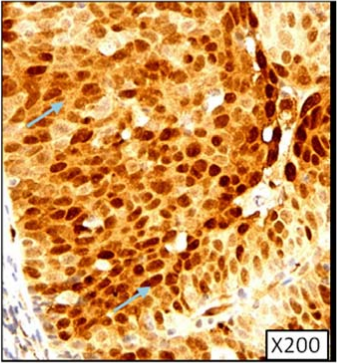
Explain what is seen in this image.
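This is carcinoma tissue made of crowded tumor cells, with the brown stain strongest in their nuclei. Most nuclei are oval to elongated and a solid deep brown, while the surrounding cytoplasm takes a lighter tan-brown. The cells lie in dense, somewhat streaming nests, and the intensity varies, with some areas of paler cells and scattered nuclei less stained.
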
